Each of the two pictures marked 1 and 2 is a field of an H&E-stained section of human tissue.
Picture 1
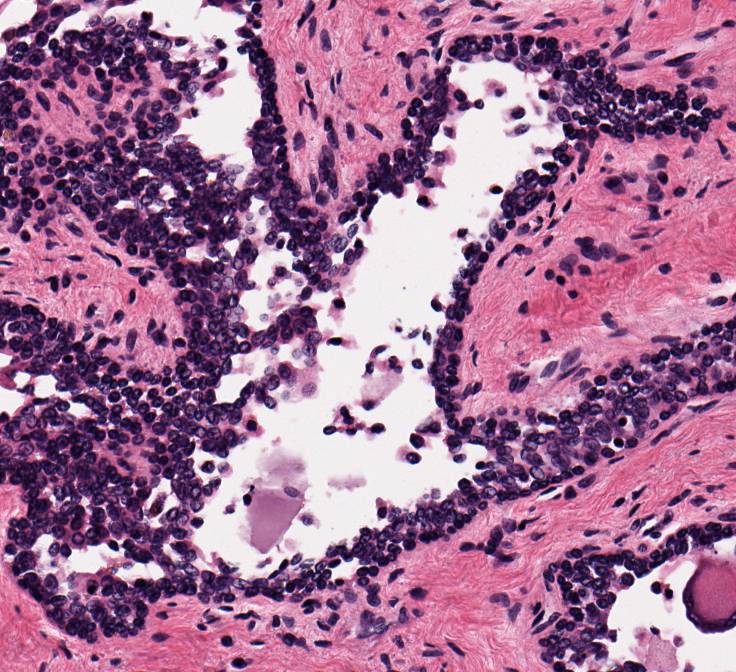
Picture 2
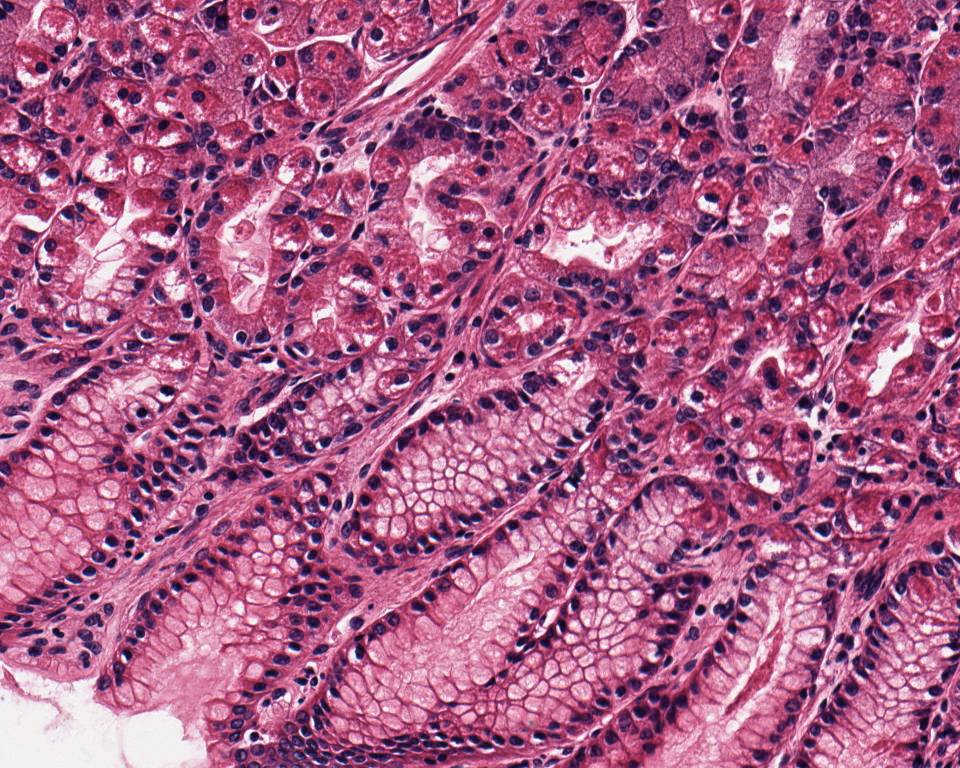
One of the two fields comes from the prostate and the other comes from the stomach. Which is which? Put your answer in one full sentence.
Picture 2 comes from the stomach, while picture 1 comes from the prostate.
